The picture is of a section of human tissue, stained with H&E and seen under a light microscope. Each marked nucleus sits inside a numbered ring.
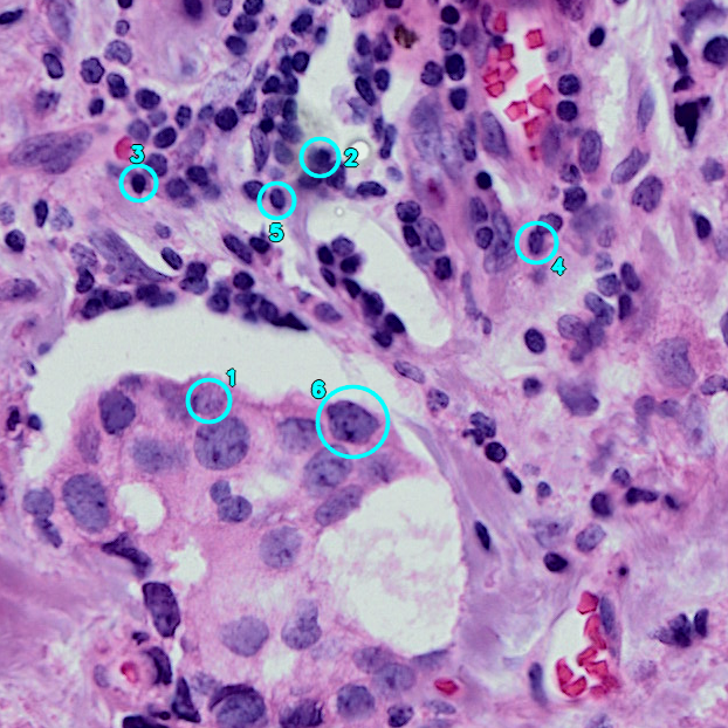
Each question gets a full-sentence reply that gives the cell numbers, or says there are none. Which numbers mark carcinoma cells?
Identified as carcinoma cells are the cells numbered 1 and 6.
